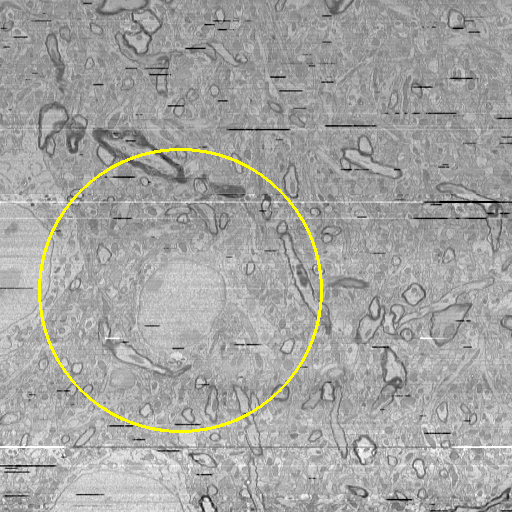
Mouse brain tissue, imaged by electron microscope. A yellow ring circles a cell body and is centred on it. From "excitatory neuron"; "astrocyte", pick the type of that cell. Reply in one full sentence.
The cell body at the centre of the yellow ring belongs to an astrocyte.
